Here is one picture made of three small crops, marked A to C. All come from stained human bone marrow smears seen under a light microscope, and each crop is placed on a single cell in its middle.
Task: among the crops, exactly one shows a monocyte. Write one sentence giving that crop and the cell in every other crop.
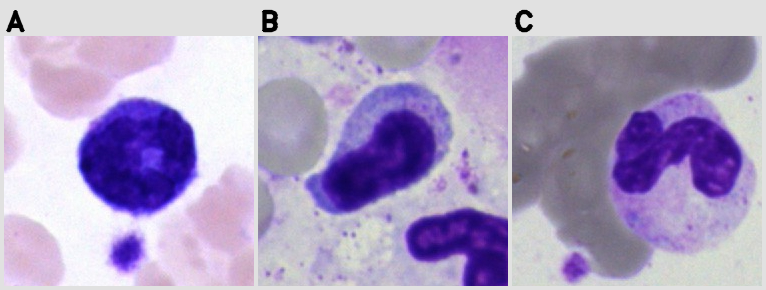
Sorting them out, crop A is a monocyte, while crop B is a band neutrophil and crop C is a segmented neutrophil.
